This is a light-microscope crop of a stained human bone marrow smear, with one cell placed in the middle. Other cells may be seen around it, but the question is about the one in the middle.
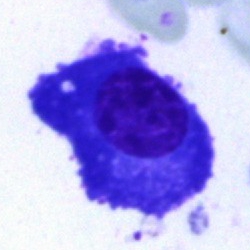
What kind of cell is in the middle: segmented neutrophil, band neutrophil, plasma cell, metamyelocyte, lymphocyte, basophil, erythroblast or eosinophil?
plasma cell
